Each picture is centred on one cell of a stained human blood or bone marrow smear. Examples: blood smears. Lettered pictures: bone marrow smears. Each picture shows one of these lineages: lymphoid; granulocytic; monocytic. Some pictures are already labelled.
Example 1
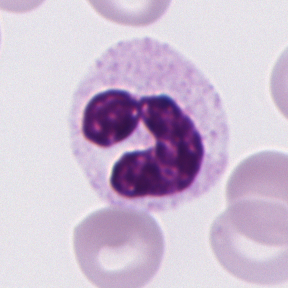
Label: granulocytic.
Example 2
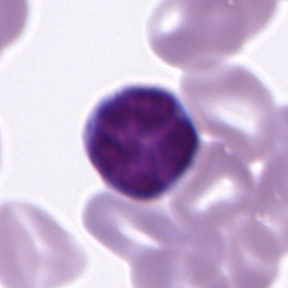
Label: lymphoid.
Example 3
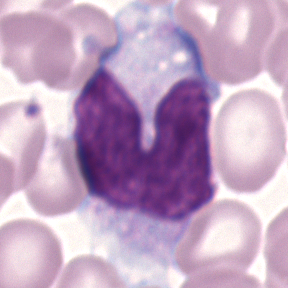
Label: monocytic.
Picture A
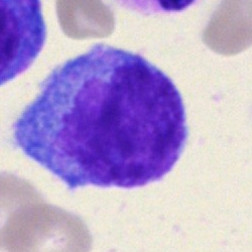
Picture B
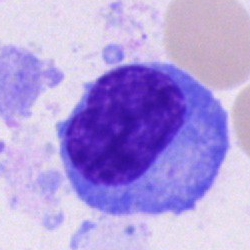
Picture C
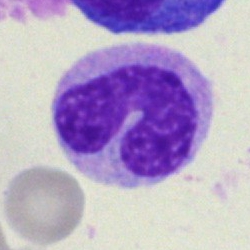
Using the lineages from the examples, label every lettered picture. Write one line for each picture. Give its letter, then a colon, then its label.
A: monocytic.
B: lymphoid.
C: granulocytic.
